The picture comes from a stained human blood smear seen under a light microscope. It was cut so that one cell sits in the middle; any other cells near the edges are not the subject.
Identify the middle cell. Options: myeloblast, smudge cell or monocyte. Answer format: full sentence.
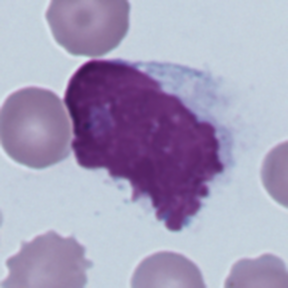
At the middle of the frame sits a smudge cell.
